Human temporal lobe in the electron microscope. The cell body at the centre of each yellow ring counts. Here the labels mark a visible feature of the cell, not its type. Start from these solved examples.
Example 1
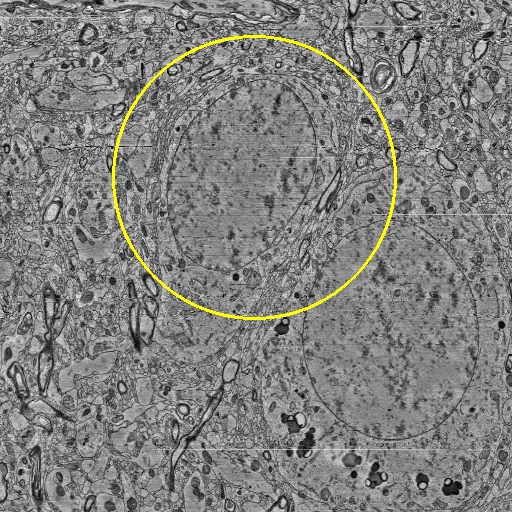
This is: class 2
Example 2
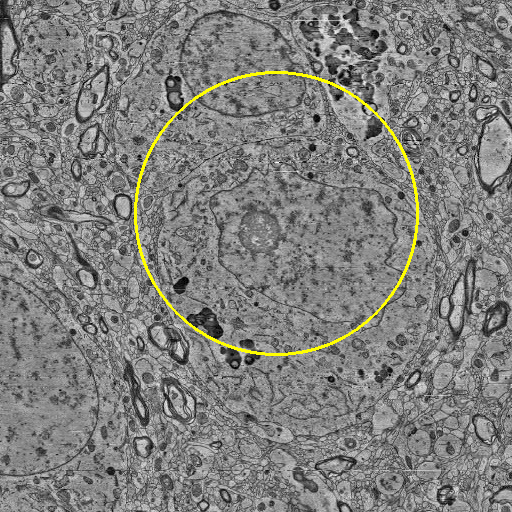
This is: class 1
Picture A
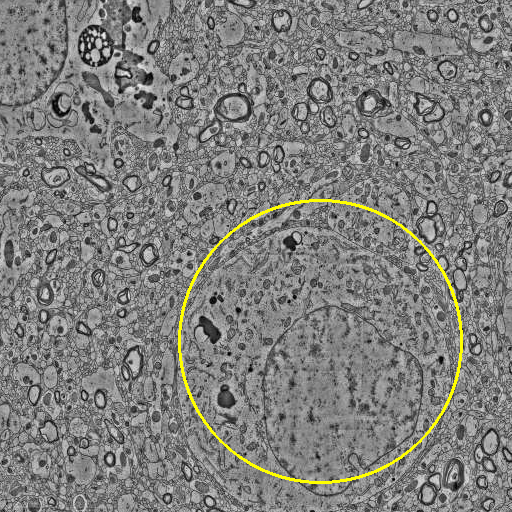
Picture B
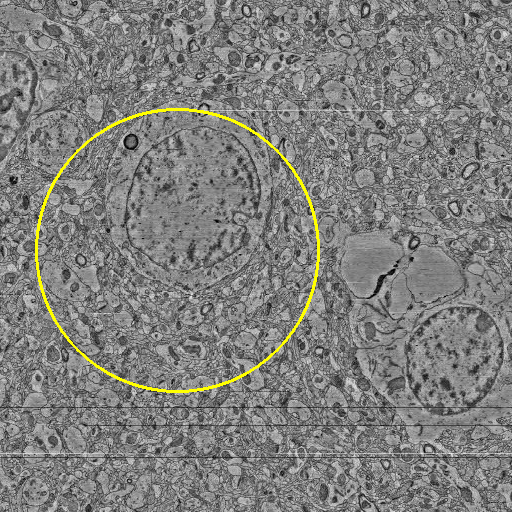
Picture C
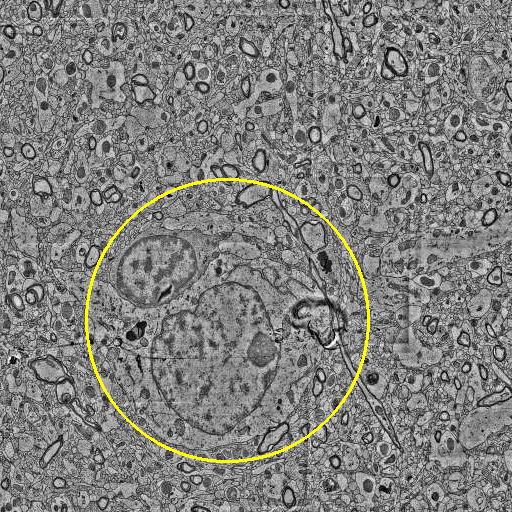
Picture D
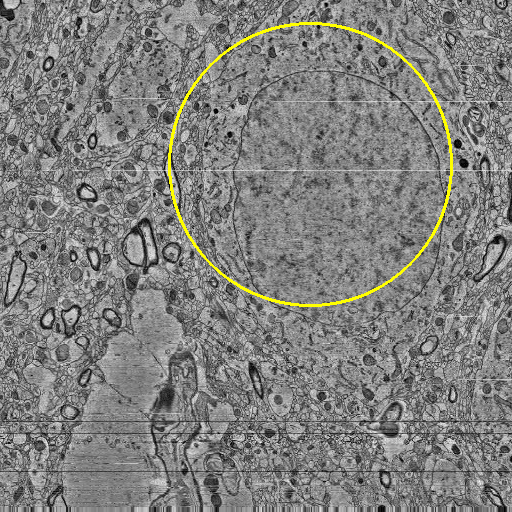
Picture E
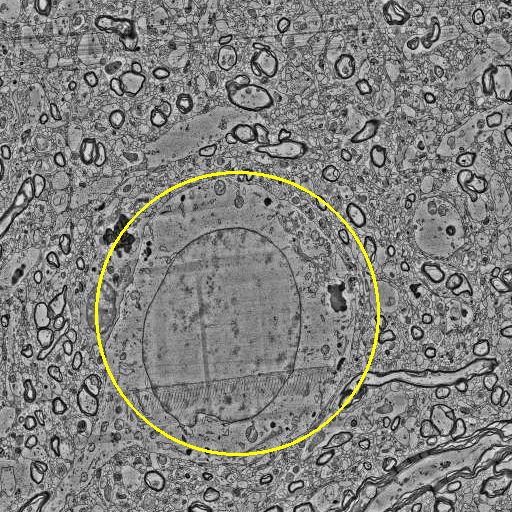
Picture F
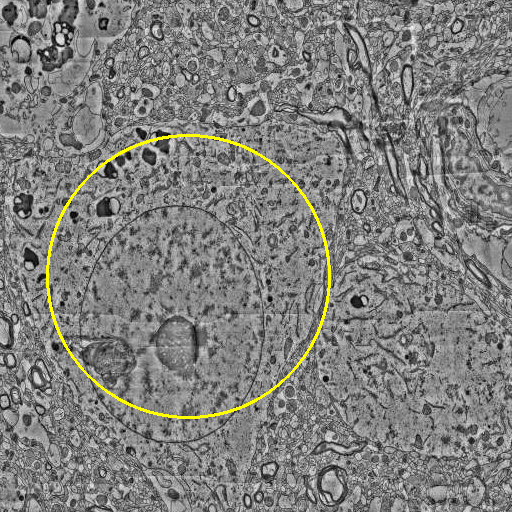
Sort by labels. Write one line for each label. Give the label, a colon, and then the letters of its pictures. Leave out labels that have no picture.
class 2: A, B, D, E
class 1: C, F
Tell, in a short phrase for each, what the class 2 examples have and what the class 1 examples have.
In class 2: no nucleolus seen. In class 1: nucleolus seen.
